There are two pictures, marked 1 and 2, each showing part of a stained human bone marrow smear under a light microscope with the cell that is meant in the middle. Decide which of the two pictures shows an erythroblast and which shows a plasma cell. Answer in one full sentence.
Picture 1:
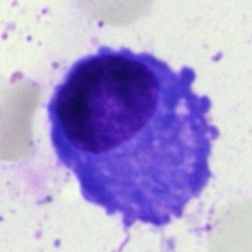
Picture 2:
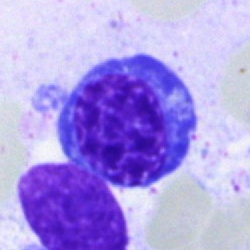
Picture 1 is of a plasma cell, and picture 2 is of an erythroblast.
